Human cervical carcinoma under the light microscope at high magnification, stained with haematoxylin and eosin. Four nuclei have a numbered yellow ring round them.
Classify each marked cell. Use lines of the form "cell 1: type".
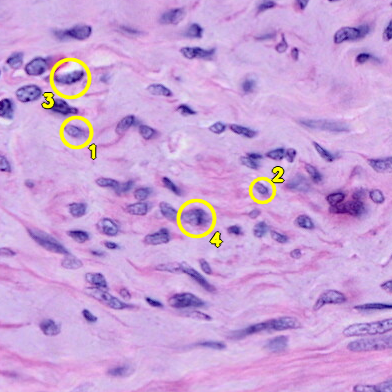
cell 1: smooth muscle cell
cell 2: smooth muscle cell
cell 3: endothelial cell
cell 4: smooth muscle cell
